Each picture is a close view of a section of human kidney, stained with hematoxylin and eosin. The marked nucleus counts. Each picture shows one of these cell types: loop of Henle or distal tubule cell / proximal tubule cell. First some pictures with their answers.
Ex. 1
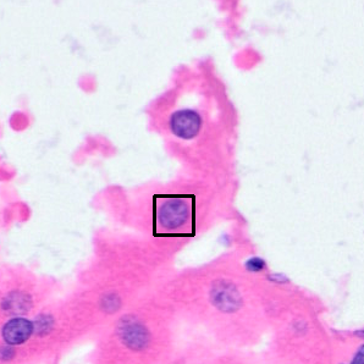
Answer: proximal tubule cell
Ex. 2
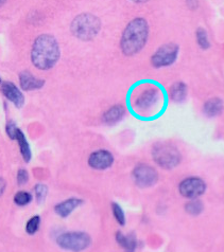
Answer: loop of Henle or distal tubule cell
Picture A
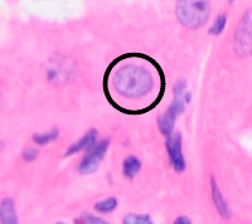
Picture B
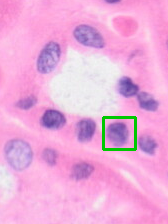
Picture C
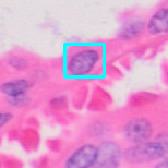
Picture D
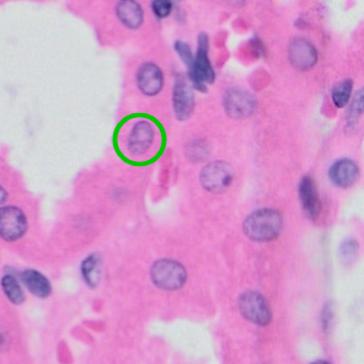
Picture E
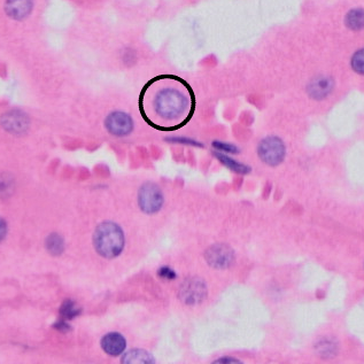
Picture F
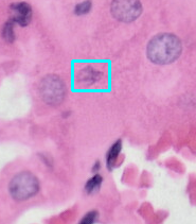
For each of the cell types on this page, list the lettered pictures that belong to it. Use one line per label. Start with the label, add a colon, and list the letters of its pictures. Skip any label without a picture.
loop of Henle or distal tubule cell: B, C
proximal tubule cell: A, D, E, F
